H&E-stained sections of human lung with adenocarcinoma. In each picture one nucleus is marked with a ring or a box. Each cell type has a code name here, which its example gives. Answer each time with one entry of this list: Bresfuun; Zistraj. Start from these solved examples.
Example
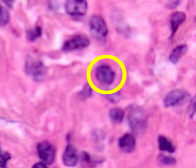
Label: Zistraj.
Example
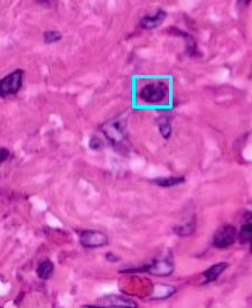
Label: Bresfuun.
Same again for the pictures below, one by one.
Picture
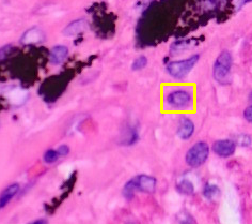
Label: Zistraj.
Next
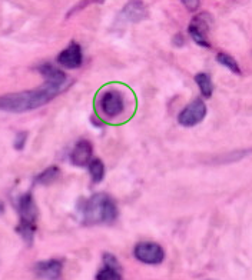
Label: Bresfuun.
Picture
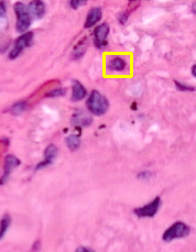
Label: Zistraj.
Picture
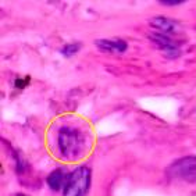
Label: Zistraj.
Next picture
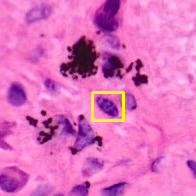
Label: Zistraj.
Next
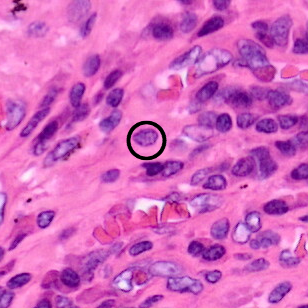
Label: Zistraj.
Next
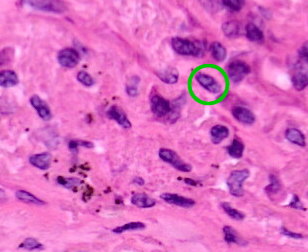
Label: Zistraj.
